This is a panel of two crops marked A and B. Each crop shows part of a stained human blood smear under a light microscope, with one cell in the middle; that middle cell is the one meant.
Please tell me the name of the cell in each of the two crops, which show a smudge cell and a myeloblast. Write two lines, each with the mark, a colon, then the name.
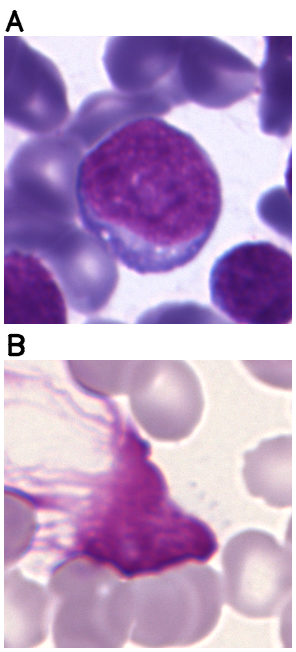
A: myeloblast
B: smudge cell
